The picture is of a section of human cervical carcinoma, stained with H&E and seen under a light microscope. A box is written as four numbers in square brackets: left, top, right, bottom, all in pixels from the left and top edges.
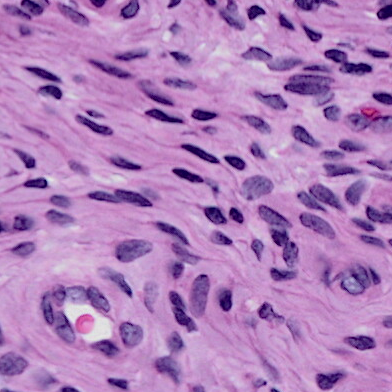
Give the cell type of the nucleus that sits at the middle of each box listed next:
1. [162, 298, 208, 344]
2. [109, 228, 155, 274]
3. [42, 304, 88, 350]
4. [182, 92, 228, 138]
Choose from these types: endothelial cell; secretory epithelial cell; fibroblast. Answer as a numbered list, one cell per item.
1. fibroblast
2. fibroblast
3. endothelial cell
4. fibroblast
